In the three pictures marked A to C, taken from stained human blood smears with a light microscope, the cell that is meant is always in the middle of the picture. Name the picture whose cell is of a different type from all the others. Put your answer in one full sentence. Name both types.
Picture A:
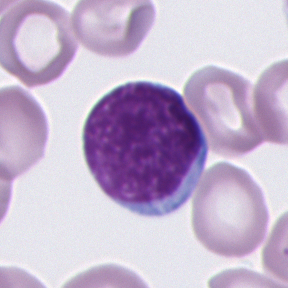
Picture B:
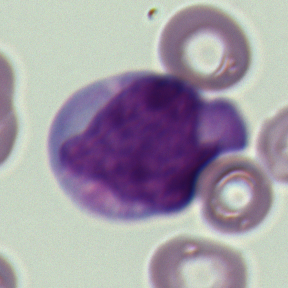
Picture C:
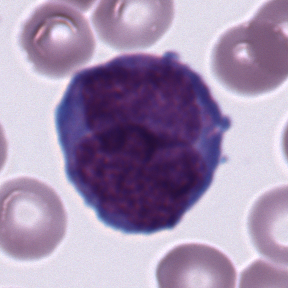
Picture A differs, because its cell is a myeloblast and the rest are atypical promyelocytes.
